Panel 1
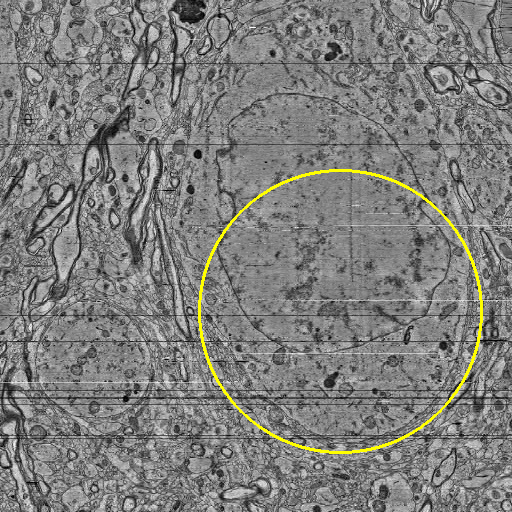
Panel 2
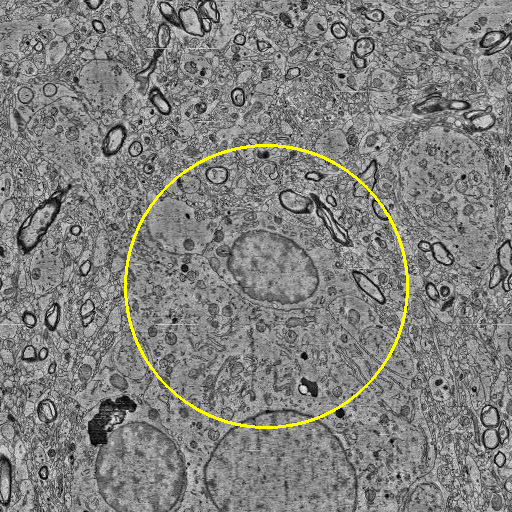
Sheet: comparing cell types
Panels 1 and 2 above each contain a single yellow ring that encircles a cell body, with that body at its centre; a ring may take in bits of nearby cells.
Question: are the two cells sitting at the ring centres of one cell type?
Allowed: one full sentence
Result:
No, the ring-centre cells in Panel 1 and Panel 2 are of two types.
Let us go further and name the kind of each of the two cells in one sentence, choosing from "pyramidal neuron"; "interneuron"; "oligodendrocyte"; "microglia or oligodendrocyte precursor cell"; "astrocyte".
The ring of the first picture is on a pyramidal neuron, the ring of the second on an oligodendrocyte.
